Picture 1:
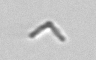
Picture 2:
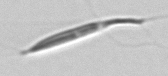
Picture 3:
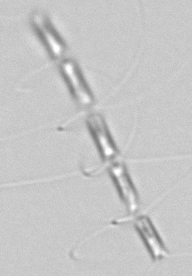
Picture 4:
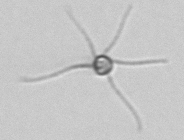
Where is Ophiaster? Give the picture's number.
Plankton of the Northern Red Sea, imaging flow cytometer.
4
